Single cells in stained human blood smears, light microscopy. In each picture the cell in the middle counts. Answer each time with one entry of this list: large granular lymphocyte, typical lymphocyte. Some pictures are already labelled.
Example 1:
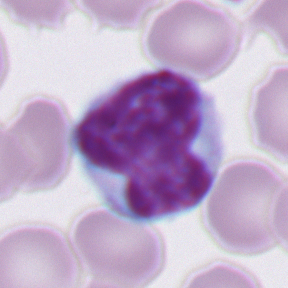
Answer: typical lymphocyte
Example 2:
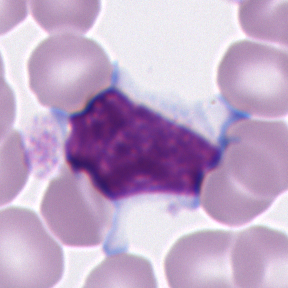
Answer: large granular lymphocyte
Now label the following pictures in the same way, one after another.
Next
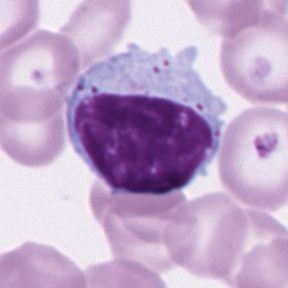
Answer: large granular lymphocyte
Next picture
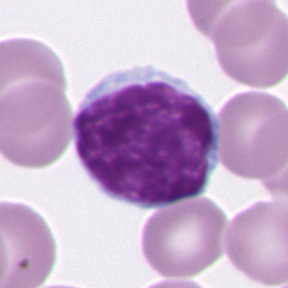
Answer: typical lymphocyte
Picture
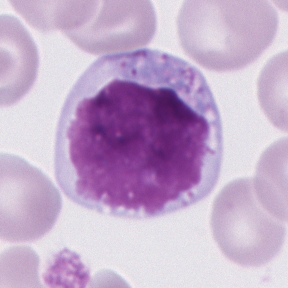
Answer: large granular lymphocyte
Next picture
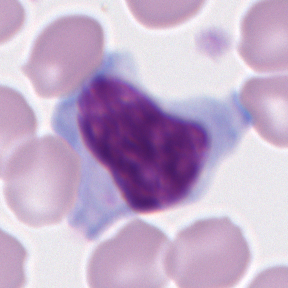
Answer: typical lymphocyte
